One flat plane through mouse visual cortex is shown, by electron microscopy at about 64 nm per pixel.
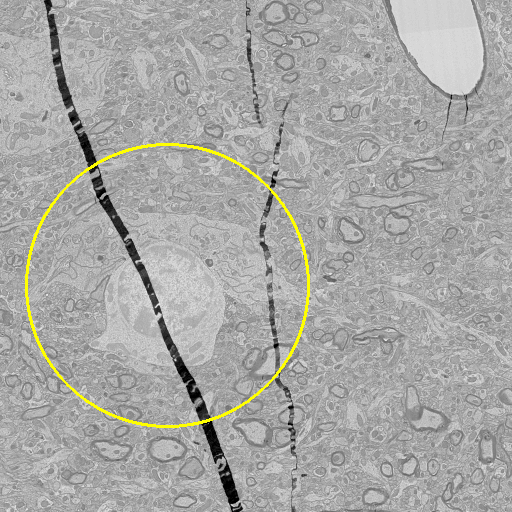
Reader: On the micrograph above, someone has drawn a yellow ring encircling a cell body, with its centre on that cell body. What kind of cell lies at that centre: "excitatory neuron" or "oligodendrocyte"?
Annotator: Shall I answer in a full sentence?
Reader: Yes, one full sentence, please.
Here an oligodendrocyte sits at the centre of the yellow ring drawn on the micrograph.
